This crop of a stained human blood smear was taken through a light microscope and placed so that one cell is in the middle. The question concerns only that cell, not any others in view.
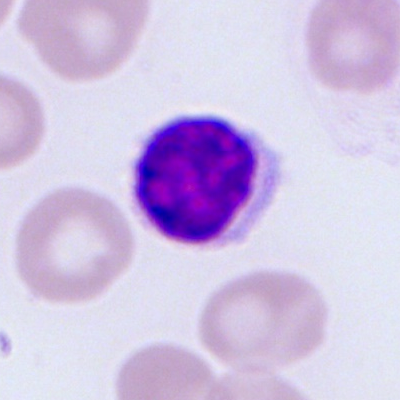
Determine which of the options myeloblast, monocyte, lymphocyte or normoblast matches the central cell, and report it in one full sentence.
In the center of this field lies a lymphocyte.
